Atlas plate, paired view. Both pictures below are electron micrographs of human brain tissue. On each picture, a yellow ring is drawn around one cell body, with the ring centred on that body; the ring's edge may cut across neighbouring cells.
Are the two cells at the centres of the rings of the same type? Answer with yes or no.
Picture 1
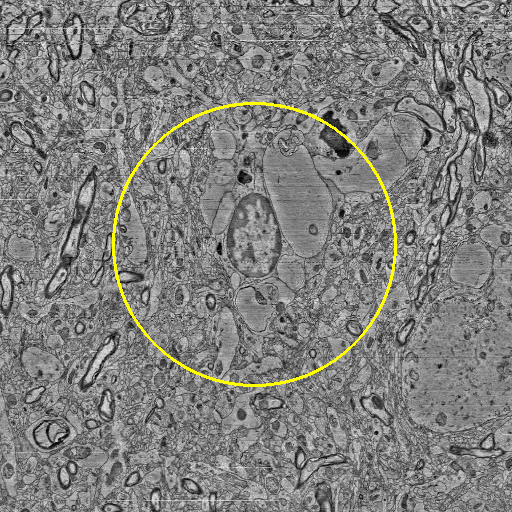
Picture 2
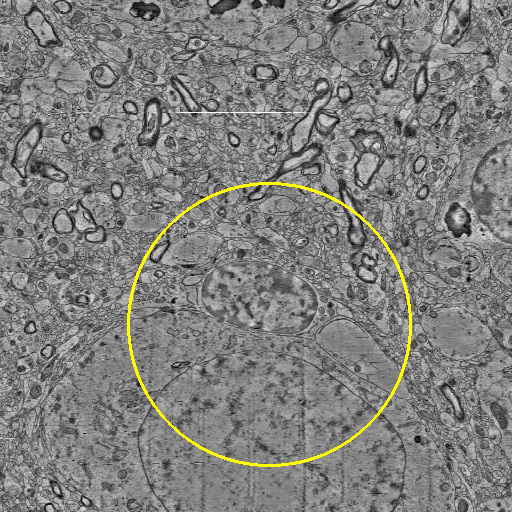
yes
